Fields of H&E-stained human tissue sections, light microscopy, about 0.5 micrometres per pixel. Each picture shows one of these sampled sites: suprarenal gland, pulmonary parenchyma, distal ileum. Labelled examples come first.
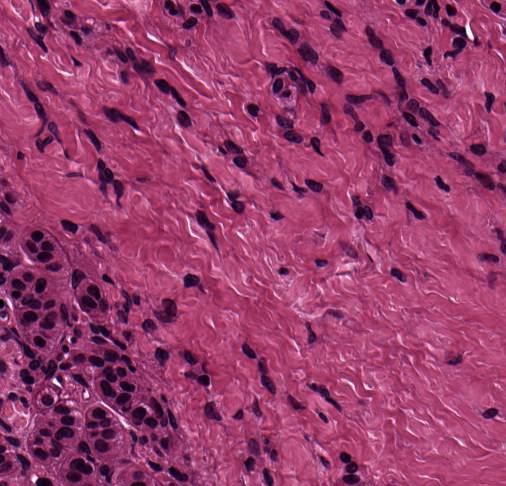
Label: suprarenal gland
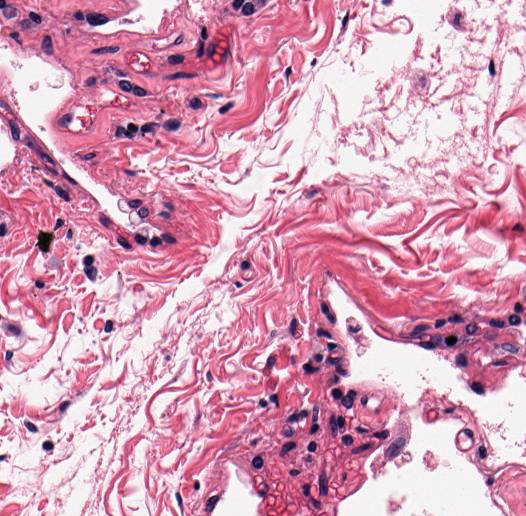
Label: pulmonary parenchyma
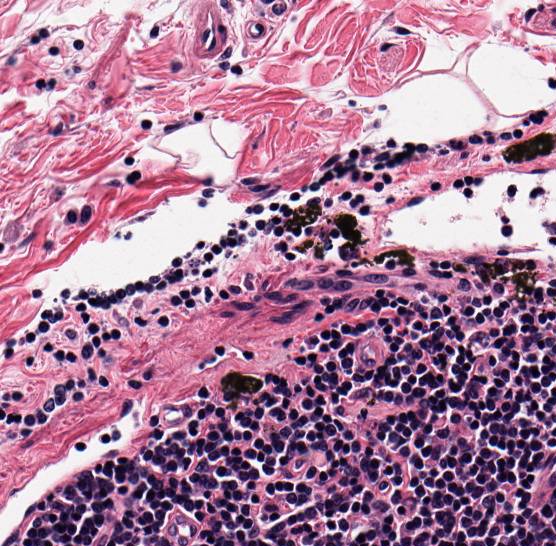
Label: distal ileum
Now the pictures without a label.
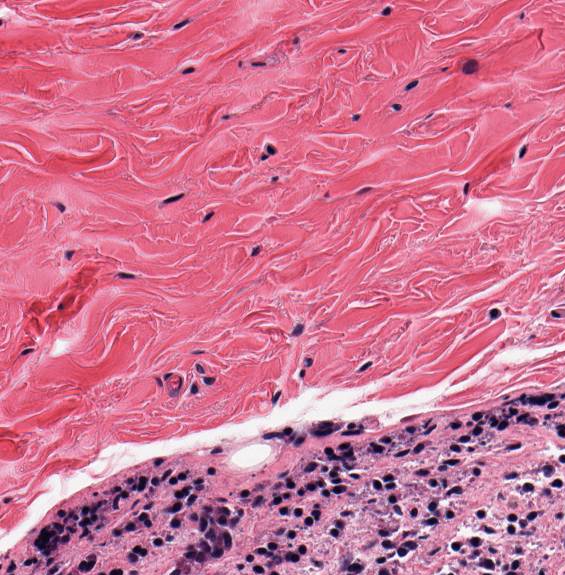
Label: distal ileum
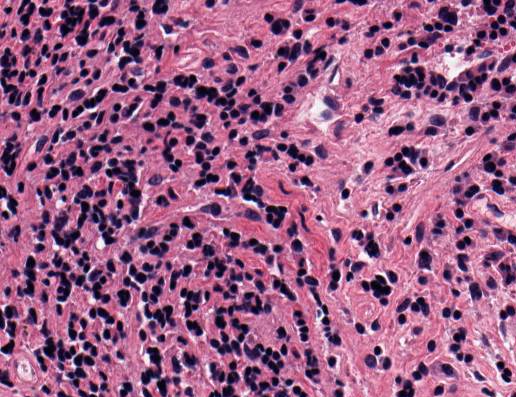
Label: distal ileum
